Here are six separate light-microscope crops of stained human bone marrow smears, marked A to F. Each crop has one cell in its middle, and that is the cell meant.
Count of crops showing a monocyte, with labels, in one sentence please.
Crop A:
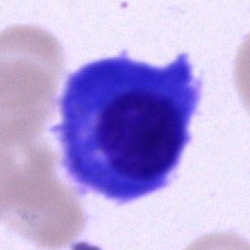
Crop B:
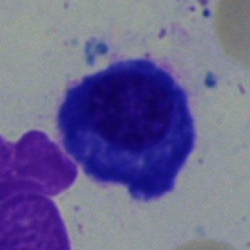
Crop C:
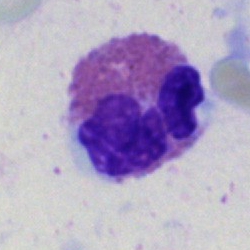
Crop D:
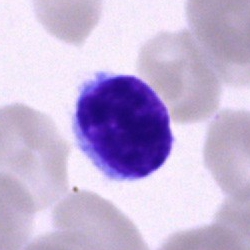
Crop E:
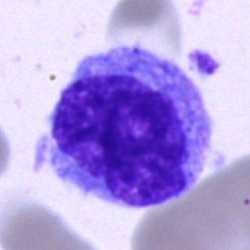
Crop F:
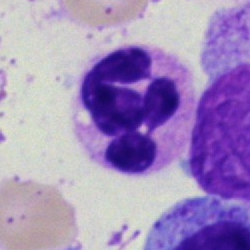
A single crop in this set shows a monocyte, and it is crop E.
